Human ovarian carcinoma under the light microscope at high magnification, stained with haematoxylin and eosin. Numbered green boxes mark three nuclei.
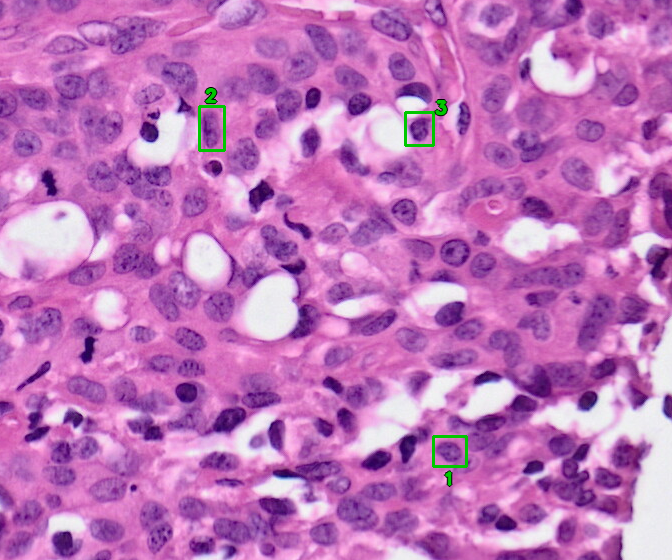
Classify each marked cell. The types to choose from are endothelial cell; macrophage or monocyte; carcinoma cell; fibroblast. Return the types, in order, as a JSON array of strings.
["macrophage or monocyte", "carcinoma cell", "macrophage or monocyte"]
